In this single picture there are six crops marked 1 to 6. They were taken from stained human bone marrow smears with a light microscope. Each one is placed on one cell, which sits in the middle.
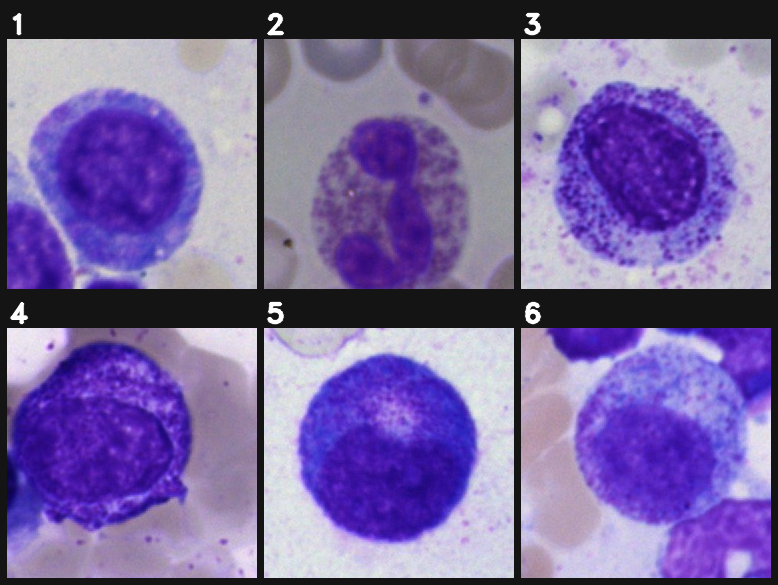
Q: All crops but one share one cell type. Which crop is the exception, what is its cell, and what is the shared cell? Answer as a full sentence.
Excluding crop 2, which is an eosinophil, the crops all show promyelocytes.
